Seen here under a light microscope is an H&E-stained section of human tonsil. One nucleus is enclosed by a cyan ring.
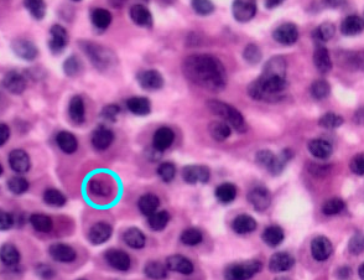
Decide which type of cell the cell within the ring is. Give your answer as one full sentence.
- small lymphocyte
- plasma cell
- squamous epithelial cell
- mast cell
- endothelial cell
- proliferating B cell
This is a plasma cell.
